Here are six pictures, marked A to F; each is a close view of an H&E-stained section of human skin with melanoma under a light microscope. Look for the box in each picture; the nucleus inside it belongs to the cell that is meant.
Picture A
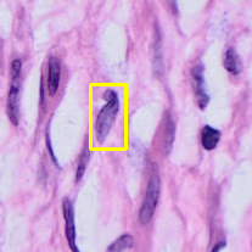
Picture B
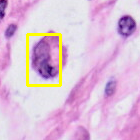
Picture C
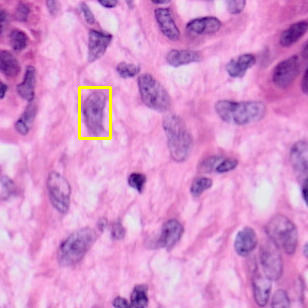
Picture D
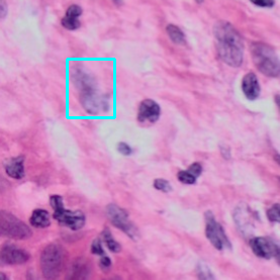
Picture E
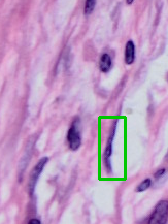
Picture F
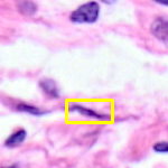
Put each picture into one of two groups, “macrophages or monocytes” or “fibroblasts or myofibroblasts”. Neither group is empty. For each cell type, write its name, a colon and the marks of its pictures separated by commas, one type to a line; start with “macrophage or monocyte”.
macrophage or monocyte: A, B
fibroblast or myofibroblast: C, D, E, F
